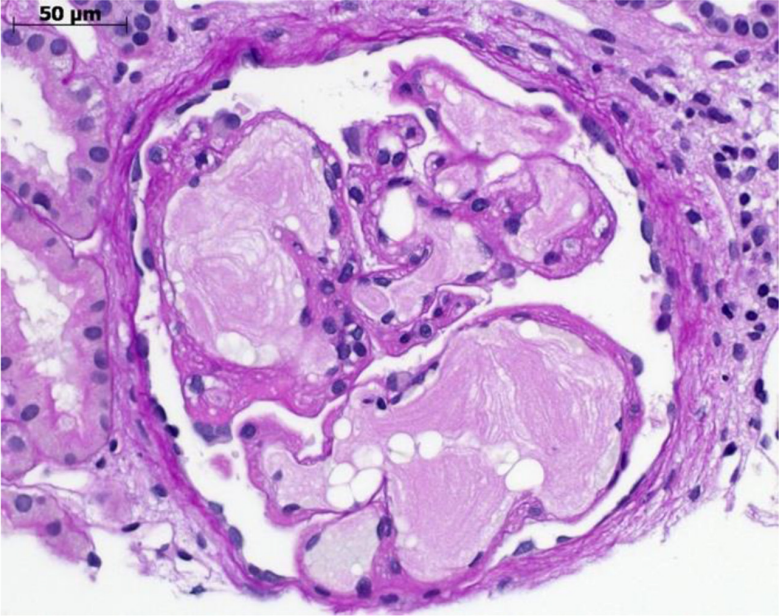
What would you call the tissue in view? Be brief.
Glomerulus.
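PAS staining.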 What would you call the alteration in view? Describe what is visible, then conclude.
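Lipoprotein thrombi. Large capillary loops are distended by pale pink material without nuclei. The material has a layered, lamellated, swirling texture. Clear round vacuoles of various sizes lie within the material.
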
